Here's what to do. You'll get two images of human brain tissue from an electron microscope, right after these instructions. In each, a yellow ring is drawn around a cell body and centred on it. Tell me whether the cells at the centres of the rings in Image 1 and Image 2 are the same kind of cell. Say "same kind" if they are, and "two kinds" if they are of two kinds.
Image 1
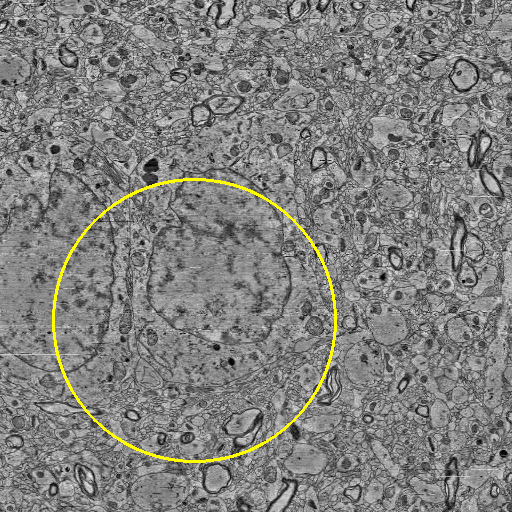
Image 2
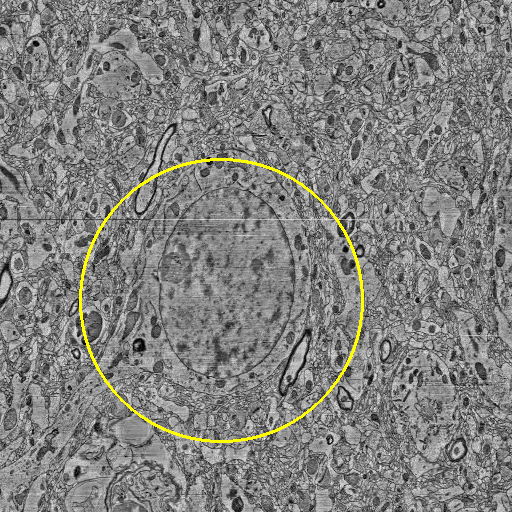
same kind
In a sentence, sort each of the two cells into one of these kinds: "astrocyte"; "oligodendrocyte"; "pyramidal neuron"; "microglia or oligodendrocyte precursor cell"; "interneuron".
Each of the two pictures has a pyramidal neuron at the ring centre.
